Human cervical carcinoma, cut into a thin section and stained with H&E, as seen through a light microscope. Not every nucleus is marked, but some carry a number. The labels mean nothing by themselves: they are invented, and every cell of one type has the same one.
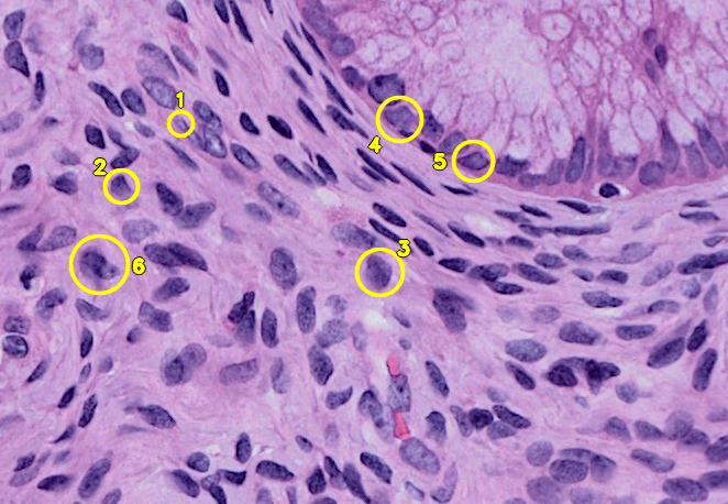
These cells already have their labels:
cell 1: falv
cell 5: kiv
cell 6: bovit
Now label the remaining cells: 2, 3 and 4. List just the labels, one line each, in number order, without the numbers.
bovit
bovit
kiv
